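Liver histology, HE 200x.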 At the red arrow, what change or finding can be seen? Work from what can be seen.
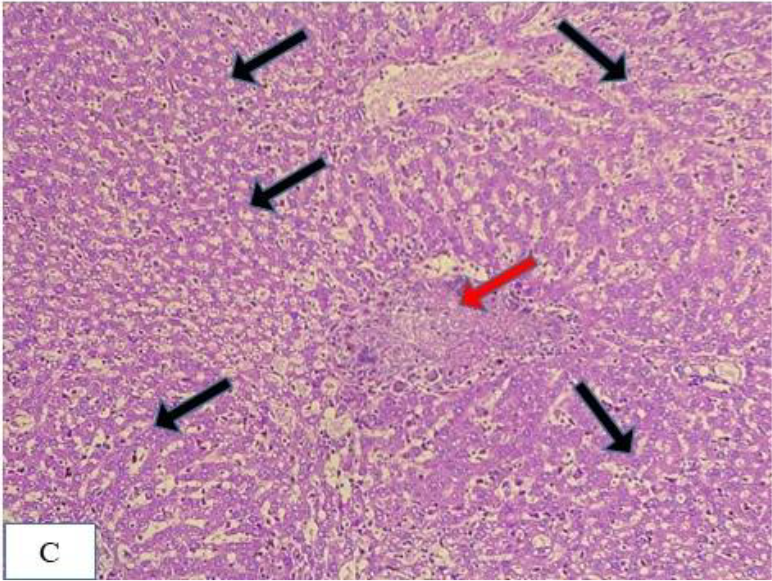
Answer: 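Necrosis. The red arrow points to a pale, smudgy patch where the regular hepatocyte cords are lost. The patch contains scattered dark purple nuclei unlike the surrounding parenchyma.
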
